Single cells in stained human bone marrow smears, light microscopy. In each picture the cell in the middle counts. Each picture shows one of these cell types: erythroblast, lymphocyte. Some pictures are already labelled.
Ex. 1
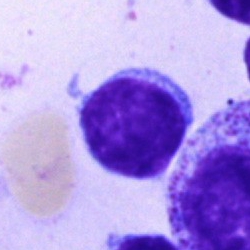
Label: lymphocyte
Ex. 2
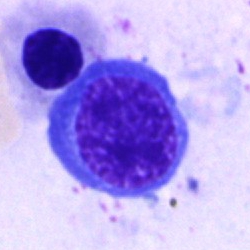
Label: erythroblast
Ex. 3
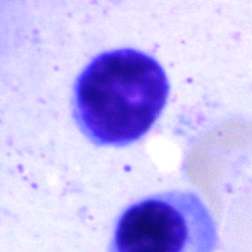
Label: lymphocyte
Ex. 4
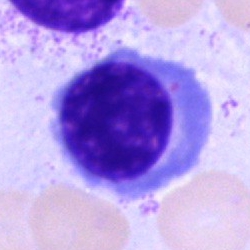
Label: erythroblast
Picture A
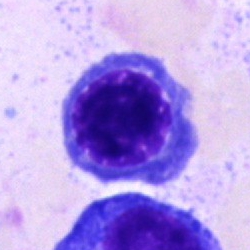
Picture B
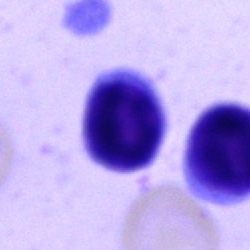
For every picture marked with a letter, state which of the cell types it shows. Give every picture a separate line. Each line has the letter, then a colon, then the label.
A: erythroblast
B: lymphocyte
